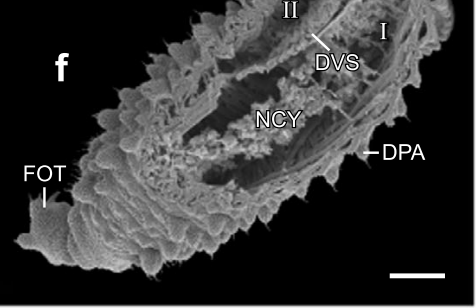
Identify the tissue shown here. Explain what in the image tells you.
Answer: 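An elongated, tapering appendage is opened to show a hollow interior. Its outer surface is covered in small rings of projections. A narrower tip at the lower left ends in a foot-like part.
Conclusion: leg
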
